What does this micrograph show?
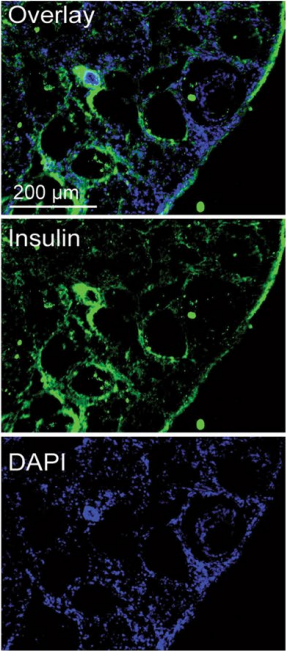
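Green-stained material lines the rims of these spaces, forming rings and thin partitions between them, and a broad bright green band runs along the curved outer edge of the section at one side. Small blue nuclei are scattered densely through the tissue between the spaces and along their borders, while the spaces themselves are almost free of nuclei. In the overlay, green and blue lie intermingled in the walls, with a few larger, brighter blue clusters.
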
